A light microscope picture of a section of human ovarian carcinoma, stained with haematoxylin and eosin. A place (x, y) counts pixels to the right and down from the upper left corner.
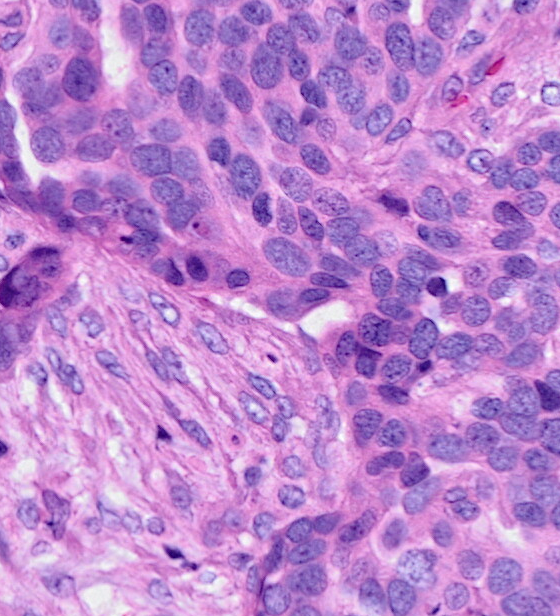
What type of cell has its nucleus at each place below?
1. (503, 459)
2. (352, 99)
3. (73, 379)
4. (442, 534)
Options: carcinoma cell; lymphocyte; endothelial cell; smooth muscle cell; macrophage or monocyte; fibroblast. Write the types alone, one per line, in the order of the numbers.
carcinoma cell
carcinoma cell
fibroblast
carcinoma cell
